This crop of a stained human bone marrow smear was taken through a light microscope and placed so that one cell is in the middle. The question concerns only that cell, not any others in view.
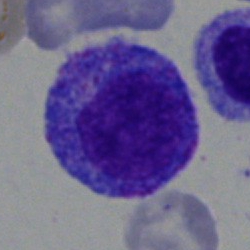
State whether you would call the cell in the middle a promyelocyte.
yes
